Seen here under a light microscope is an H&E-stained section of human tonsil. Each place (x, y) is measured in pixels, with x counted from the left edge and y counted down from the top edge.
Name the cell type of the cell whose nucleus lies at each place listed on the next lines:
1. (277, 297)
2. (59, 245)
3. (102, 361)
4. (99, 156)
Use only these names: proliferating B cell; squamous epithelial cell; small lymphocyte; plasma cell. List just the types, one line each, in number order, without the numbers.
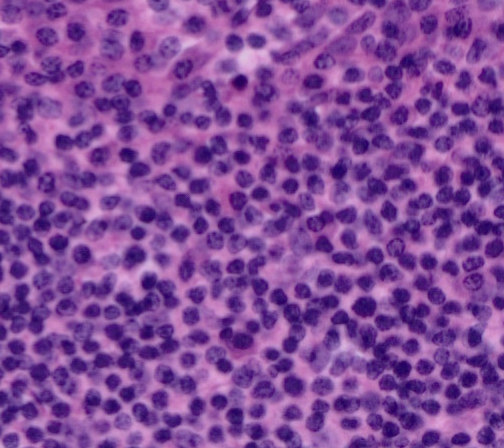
small lymphocyte
small lymphocyte
small lymphocyte
plasma cell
